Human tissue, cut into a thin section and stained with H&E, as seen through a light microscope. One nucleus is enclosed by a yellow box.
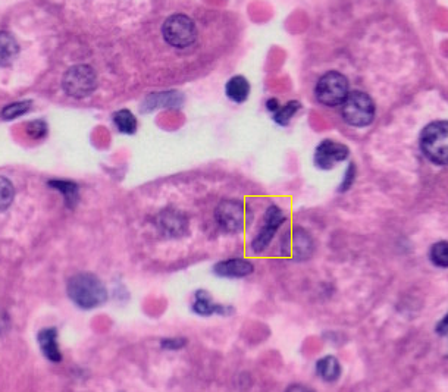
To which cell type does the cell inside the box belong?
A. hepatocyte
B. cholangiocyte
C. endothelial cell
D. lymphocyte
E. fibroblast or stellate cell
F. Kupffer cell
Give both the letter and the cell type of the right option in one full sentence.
Option E properly identifies the cell inside the box as a fibroblast or stellate cell.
